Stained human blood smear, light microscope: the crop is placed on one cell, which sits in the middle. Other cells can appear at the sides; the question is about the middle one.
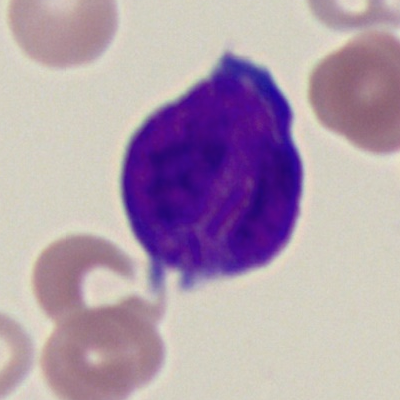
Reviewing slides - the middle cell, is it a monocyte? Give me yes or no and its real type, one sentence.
No, it is not a monocyte that sits at the centre but a blast.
